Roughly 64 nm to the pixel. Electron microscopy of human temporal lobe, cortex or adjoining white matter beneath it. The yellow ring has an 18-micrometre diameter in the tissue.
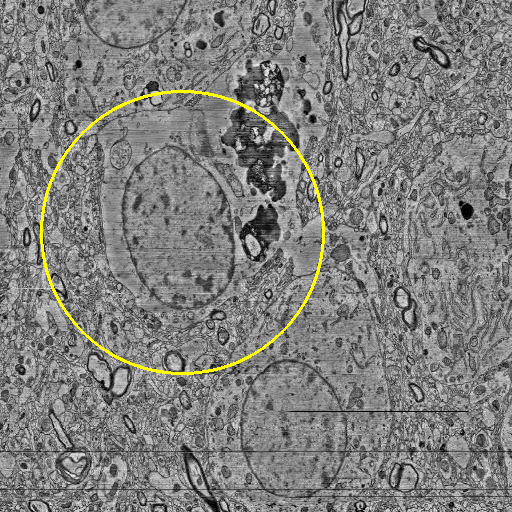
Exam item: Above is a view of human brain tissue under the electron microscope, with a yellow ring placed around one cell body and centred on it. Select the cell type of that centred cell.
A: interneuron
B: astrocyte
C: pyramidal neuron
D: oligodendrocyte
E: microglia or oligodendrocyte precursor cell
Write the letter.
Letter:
B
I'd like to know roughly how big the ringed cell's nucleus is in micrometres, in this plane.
The nucleus comes to approximately 11 by 7 micrometres and is clearly longer than it is wide in this plane.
